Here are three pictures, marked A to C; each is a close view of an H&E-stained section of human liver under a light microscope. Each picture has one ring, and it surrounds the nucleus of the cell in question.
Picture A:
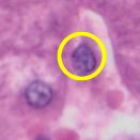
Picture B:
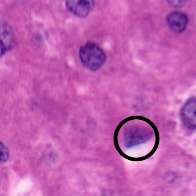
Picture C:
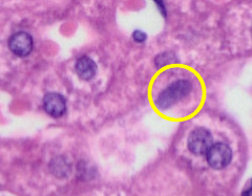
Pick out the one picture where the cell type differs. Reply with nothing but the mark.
B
